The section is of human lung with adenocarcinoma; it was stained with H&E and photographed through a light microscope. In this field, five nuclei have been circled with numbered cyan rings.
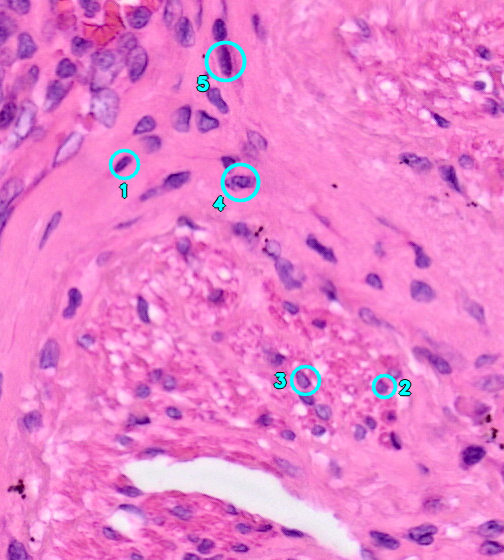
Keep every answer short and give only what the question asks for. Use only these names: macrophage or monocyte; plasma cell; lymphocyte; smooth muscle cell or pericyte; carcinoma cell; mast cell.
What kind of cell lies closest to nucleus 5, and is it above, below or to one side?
a mast cell, above nucleus 5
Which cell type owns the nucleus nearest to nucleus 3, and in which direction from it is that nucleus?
a smooth muscle cell or pericyte below nucleus 3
